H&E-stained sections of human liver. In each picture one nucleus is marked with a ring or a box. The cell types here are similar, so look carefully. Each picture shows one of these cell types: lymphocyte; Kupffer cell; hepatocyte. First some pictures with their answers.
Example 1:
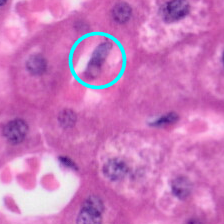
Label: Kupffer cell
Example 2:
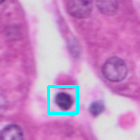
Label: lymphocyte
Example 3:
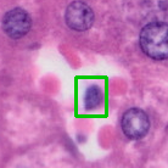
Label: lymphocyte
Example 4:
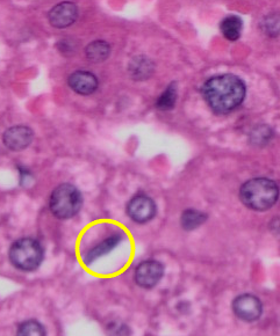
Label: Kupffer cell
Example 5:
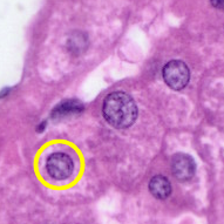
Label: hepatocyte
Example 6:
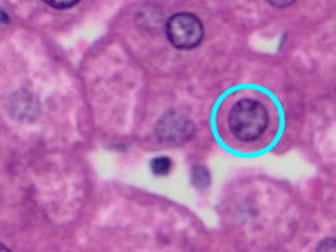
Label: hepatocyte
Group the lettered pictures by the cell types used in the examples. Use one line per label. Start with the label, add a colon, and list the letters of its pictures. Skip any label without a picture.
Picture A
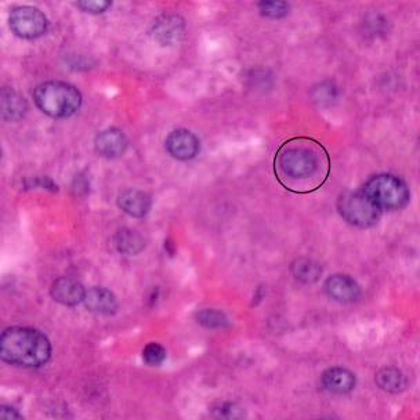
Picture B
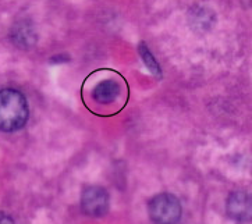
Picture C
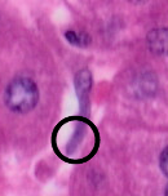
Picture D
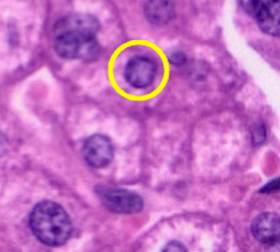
lymphocyte: B
Kupffer cell: C
hepatocyte: A, D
